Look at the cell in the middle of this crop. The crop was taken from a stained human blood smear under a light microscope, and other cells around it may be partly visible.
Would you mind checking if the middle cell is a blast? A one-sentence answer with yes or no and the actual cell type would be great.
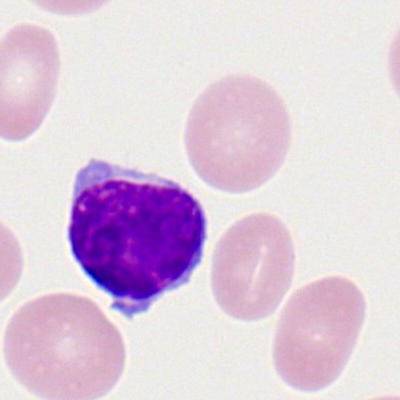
No, rather than a blast, the central cell is a lymphocyte.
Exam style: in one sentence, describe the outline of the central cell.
The border of the cell is irregular, being either ragged or extended into projections.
